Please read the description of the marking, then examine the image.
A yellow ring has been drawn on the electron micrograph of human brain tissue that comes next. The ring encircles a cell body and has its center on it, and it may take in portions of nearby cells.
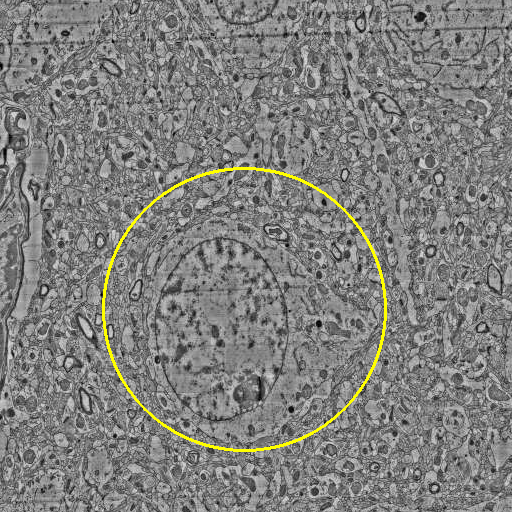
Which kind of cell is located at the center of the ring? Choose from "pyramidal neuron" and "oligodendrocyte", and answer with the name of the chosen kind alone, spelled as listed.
pyramidal neuron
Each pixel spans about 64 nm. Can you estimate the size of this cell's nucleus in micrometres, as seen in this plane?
Roughly 12 by 9 micrometres is the size of the nucleus in this plane.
